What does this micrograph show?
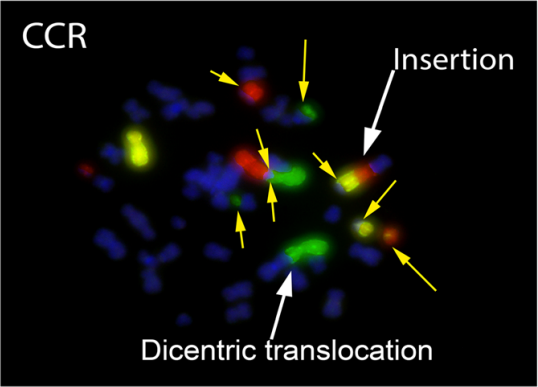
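Red, green and yellow appear as small separate fragments and as pieces joined end to end with another colour. One blue chromosome bears a green segment, and a yellow piece sits beside red material where colours meet. Yellow arrows point to these breaks and joins across the spread.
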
